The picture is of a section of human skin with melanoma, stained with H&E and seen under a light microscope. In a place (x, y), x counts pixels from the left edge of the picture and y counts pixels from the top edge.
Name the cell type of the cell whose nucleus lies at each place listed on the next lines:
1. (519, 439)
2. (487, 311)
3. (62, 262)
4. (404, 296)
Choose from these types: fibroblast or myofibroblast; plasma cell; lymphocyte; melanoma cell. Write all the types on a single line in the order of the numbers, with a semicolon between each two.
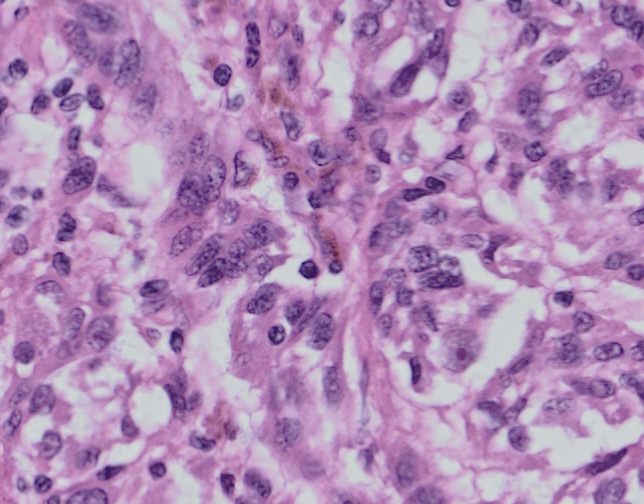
melanoma cell; melanoma cell; lymphocyte; melanoma cell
